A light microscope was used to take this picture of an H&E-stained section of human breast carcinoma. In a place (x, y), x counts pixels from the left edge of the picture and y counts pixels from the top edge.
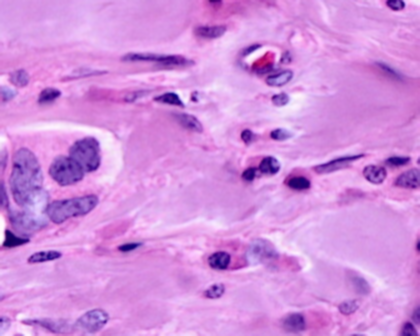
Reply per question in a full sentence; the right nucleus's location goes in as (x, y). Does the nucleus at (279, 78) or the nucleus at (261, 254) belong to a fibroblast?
Between the pair, the nucleus at (261, 254) belongs to a fibroblast.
